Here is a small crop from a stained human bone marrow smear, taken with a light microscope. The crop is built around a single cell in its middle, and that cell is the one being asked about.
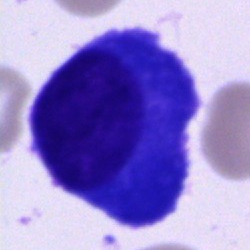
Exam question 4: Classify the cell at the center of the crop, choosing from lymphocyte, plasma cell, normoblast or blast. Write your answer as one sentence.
The cell around which this crop is centred is a plasma cell.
